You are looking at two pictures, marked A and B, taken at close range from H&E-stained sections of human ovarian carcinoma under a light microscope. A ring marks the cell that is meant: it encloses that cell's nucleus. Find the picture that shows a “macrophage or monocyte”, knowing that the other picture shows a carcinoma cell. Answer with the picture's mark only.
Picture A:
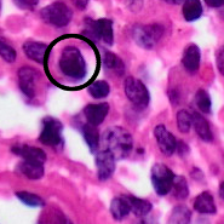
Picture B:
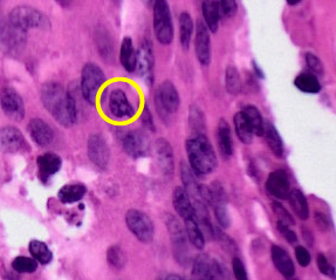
B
